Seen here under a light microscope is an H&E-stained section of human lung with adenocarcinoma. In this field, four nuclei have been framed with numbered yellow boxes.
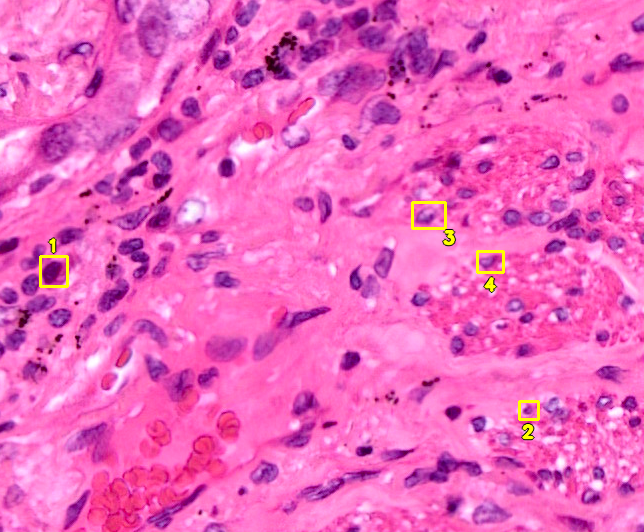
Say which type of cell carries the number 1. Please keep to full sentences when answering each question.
At number 1, the marked cell is a plasma cell.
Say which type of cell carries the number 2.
The cell marked with the number 2 is a smooth muscle cell or pericyte.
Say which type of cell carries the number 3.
The cell given label 3 is a smooth muscle cell or pericyte.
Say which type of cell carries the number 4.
The cell numbered 4 has been identified as a smooth muscle cell or pericyte.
